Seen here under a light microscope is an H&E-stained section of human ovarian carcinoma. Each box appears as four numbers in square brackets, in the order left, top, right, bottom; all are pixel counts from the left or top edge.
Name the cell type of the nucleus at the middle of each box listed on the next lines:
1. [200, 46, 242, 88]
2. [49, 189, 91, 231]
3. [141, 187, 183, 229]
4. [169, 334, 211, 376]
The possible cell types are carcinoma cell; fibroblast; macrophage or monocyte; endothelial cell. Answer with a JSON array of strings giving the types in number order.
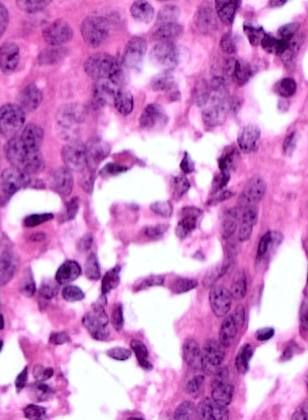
["carcinoma cell", "carcinoma cell", "macrophage or monocyte", "carcinoma cell"]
